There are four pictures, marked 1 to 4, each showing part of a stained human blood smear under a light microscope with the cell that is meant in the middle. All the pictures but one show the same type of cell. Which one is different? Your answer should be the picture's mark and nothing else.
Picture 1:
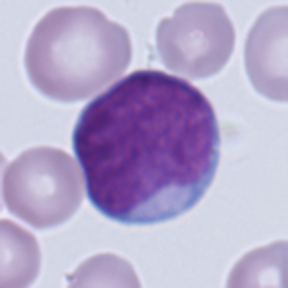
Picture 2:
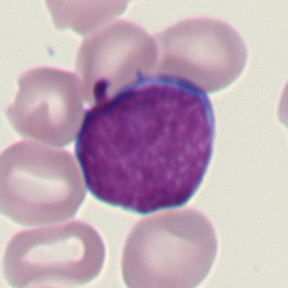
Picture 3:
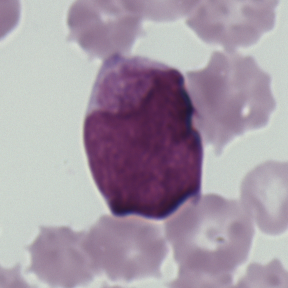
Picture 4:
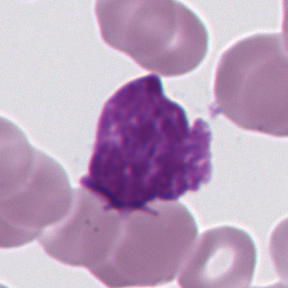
4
